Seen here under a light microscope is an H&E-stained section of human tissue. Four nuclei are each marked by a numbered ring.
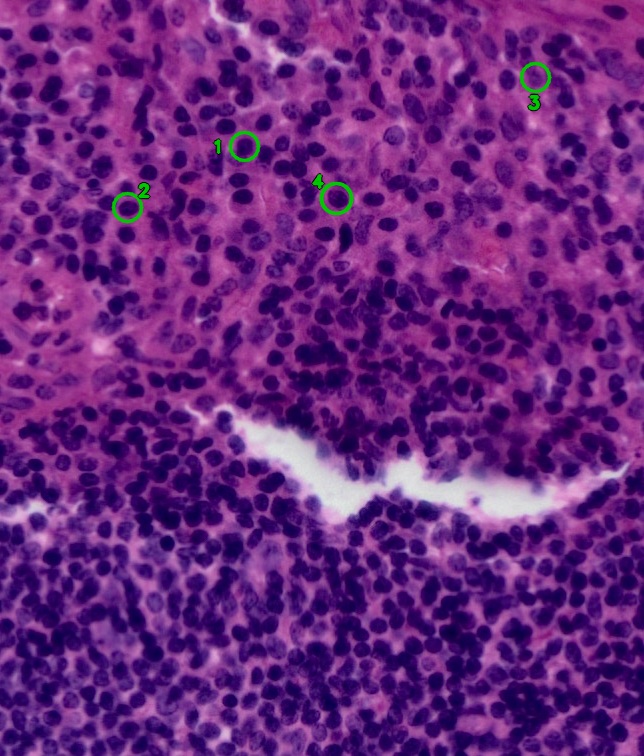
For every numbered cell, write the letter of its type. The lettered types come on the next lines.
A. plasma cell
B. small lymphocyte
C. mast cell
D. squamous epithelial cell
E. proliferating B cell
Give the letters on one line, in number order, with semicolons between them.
A; A; D; A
